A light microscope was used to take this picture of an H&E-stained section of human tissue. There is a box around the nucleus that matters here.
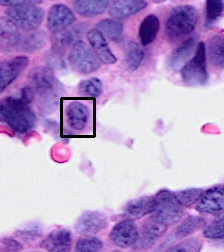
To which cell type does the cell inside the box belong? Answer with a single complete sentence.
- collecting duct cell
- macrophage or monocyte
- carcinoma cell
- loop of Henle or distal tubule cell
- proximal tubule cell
Typologically, the cell inside the box is a macrophage or monocyte in this section.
